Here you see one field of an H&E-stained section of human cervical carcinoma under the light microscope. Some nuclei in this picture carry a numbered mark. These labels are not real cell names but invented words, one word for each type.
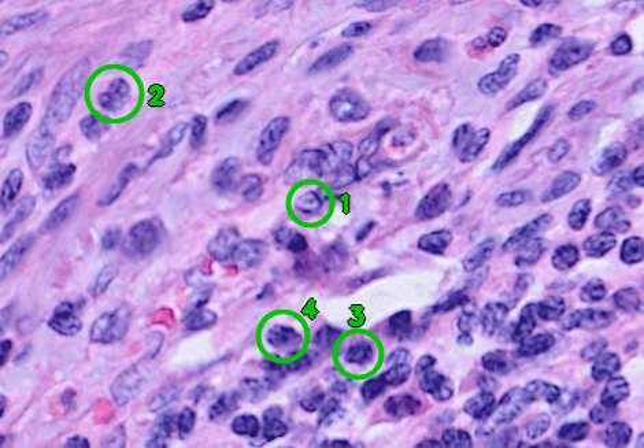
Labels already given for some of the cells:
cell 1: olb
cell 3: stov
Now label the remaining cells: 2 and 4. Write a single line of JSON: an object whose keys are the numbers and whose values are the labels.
{"2": "stov", "4": "stov"}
